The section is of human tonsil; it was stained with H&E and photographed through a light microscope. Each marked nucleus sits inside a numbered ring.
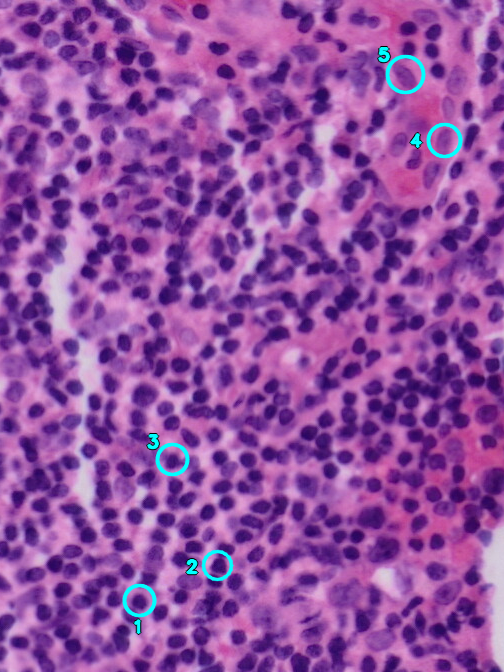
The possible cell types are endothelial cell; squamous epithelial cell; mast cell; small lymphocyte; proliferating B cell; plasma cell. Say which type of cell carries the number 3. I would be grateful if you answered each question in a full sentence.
The cell identified by the number 3 is a small lymphocyte.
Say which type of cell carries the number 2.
As for number 2, that cell is a small lymphocyte.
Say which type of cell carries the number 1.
The one numbered 1 among the marked cells is a small lymphocyte.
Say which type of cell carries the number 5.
The marked nucleus 5 is that of an endothelial cell.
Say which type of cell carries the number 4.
The numeral 4 marks an endothelial cell in this section.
